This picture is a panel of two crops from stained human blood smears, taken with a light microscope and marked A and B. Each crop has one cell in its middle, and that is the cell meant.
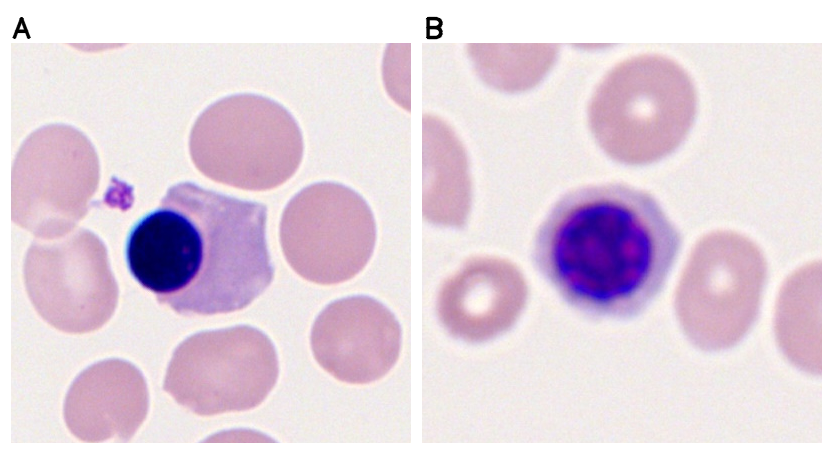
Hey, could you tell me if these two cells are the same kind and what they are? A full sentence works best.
Yes, erythroblasts are depicted in both crops.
